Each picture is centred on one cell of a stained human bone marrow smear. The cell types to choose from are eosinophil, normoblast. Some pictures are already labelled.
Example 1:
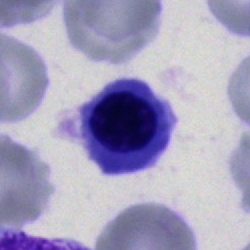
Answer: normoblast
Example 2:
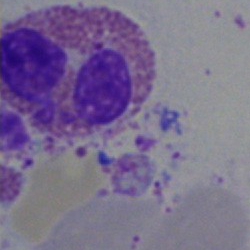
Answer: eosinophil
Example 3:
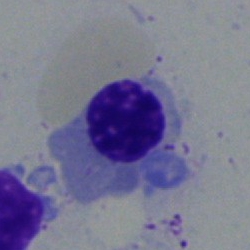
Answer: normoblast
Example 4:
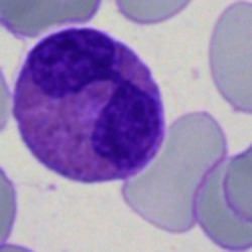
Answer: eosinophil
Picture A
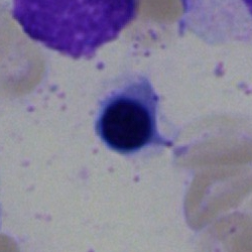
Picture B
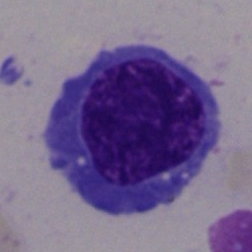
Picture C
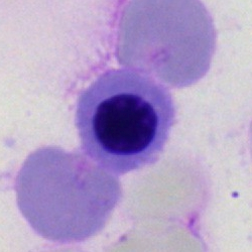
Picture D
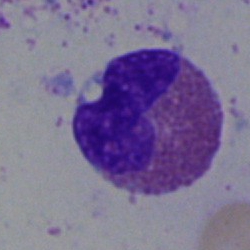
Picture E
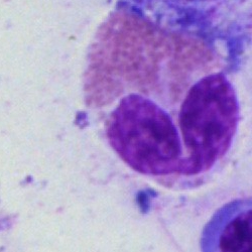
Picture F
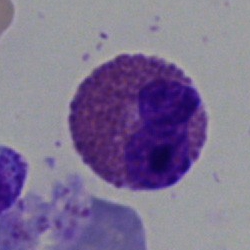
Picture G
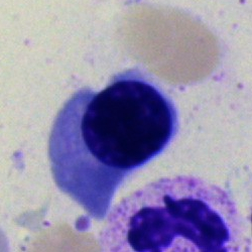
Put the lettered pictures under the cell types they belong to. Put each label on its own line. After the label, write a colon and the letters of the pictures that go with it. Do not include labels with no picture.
eosinophil: D, E, F
normoblast: A, B, C, G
